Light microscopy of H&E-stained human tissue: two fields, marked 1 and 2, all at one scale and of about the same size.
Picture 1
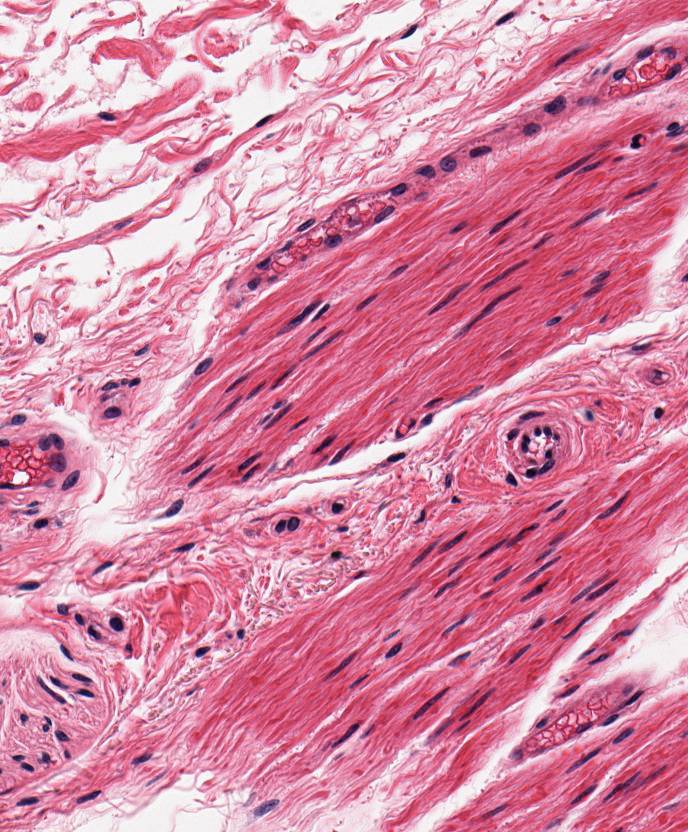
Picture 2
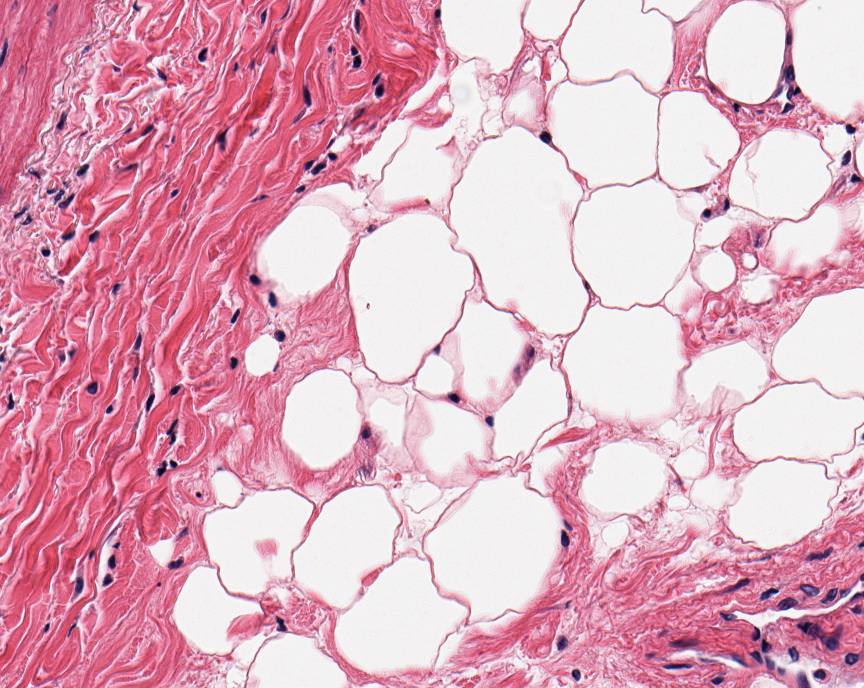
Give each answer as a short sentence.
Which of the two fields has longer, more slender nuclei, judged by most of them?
On the whole the nuclei of picture 1 are more drawn out than those of picture 2.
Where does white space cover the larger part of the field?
More of picture 2 is empty and white.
